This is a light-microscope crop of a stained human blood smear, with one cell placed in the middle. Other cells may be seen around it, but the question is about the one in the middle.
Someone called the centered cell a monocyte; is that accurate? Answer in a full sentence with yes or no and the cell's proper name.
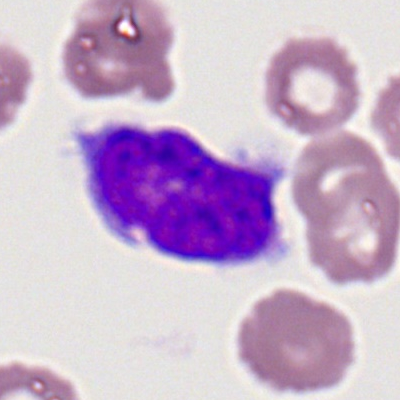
Yes, the centred cell is categorised as a monocyte.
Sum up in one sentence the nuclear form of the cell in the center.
In this cell the nucleus is a solitary compact mass, round, oval or kidney-shaped.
